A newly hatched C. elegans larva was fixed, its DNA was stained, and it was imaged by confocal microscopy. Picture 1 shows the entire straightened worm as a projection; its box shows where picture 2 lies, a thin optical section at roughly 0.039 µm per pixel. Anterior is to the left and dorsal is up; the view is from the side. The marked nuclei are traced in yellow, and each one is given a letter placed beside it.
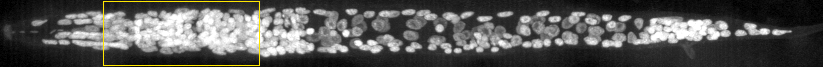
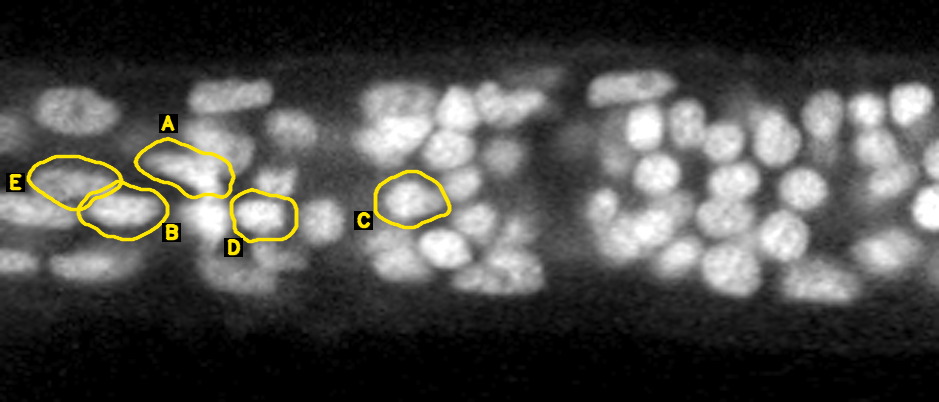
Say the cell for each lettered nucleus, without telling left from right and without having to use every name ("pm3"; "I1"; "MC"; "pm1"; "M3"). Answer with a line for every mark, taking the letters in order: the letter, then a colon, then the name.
A: pm1
B: I1
C: M3
D: MC
E: pm3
